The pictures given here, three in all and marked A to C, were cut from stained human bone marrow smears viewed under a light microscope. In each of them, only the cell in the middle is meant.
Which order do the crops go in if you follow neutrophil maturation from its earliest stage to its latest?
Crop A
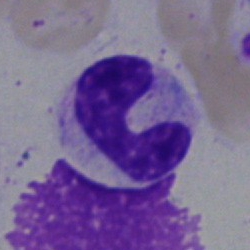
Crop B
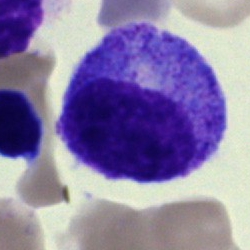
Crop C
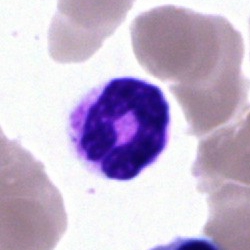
B, A, C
